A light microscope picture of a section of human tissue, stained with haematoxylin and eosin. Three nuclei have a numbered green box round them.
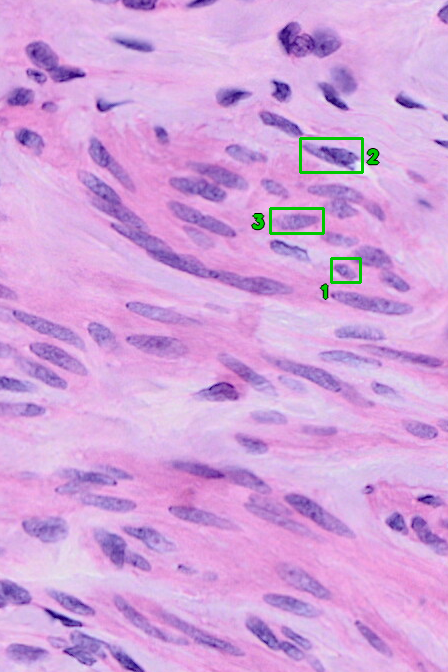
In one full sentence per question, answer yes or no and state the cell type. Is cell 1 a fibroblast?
No, calling cell 1 a fibroblast is a mistake; it is a smooth muscle cell.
